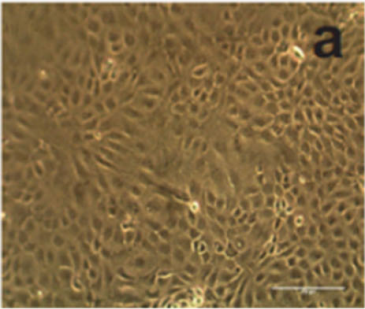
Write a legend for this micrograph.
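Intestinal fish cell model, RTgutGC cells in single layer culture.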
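The cells are polygonal to slightly elongated and lie tightly side by side in a cobblestone-like pattern. A few rounded, brighter cells sit here and there on the sheet.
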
